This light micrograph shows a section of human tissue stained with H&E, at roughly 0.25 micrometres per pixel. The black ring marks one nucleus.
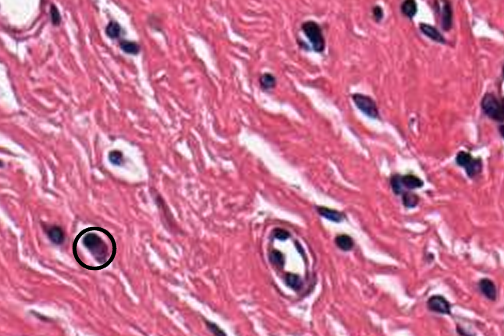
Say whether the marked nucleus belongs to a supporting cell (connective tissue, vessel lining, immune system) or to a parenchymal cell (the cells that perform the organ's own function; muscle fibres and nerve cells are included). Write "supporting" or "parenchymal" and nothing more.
supporting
